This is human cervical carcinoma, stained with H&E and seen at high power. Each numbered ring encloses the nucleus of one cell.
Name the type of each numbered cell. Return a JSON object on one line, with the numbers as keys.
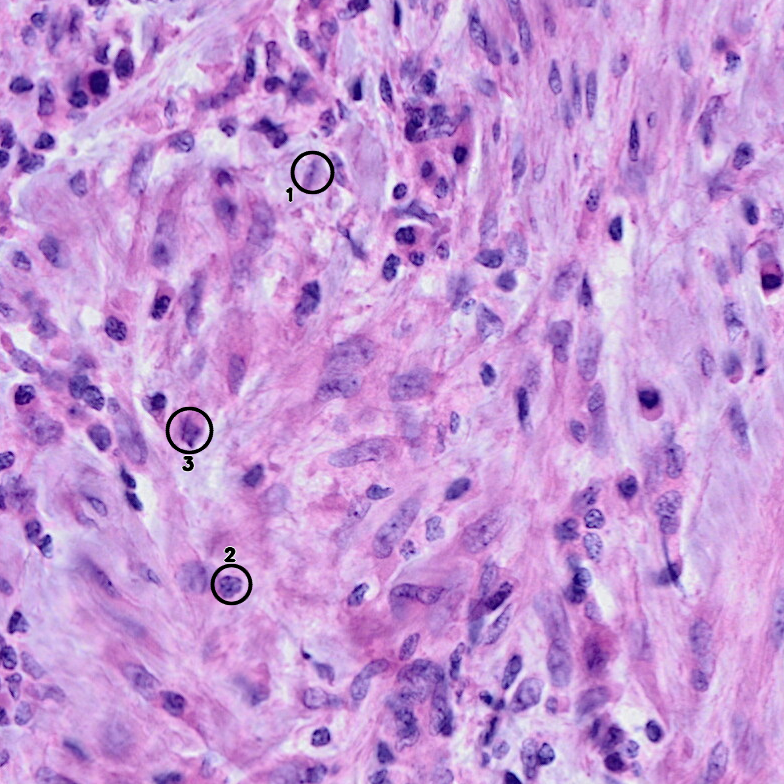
{"1": "fibroblast", "2": "lymphocyte", "3": "macrophage or monocyte"}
